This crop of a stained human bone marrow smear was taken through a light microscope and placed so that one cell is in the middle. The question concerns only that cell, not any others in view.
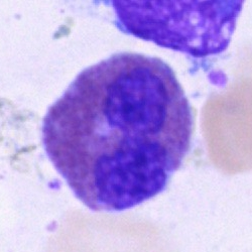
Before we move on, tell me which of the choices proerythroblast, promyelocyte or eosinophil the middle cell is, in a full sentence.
The middle position in this crop is taken by an eosinophil.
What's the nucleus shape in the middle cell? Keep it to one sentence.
Multiple nuclear lobes, two or more, can be counted in this cell.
